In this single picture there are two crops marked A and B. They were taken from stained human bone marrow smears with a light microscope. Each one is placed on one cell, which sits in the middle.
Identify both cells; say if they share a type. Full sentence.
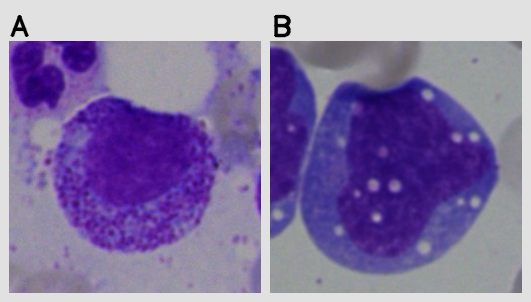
No, a monocyte is in crop B, and a myelocyte is in crop A.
